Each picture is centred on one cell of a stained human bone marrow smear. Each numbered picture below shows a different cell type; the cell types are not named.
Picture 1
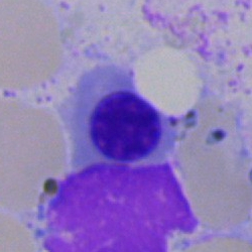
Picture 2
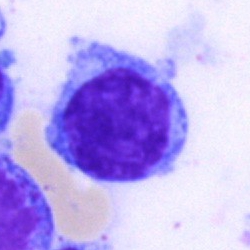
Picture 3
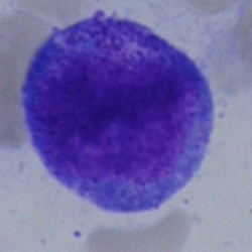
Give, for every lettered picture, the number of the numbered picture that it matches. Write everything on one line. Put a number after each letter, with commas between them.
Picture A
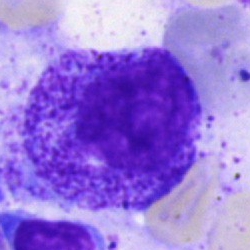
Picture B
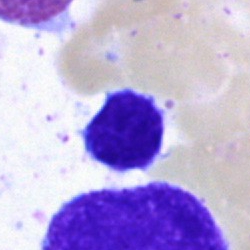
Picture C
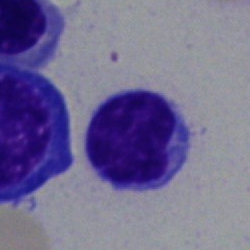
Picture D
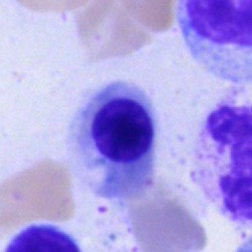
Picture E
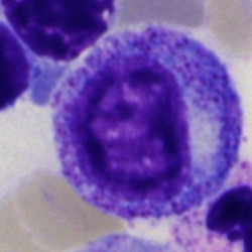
A 3, B 2, C 2, D 1, E 3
